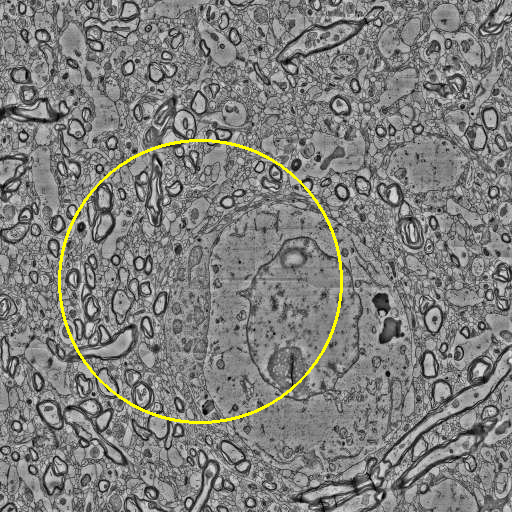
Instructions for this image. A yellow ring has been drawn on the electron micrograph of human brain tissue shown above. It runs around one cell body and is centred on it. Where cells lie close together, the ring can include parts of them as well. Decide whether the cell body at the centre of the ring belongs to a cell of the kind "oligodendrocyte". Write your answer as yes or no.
yes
